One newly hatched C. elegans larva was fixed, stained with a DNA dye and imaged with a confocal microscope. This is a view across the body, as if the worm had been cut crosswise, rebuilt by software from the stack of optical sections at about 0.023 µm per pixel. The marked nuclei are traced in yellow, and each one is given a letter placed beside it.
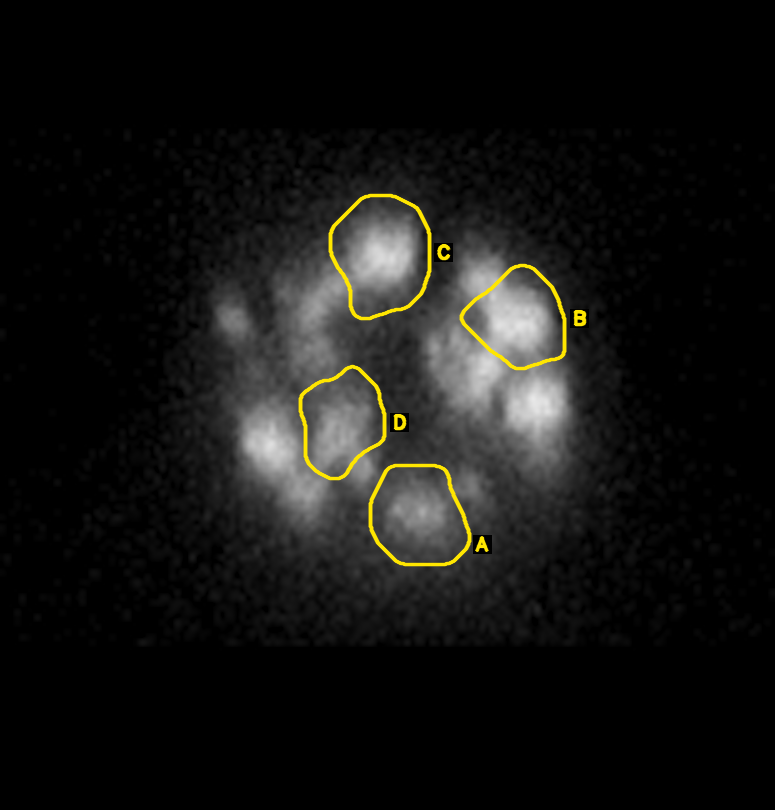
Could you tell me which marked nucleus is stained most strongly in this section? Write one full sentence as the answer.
B is the most strongly stained.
